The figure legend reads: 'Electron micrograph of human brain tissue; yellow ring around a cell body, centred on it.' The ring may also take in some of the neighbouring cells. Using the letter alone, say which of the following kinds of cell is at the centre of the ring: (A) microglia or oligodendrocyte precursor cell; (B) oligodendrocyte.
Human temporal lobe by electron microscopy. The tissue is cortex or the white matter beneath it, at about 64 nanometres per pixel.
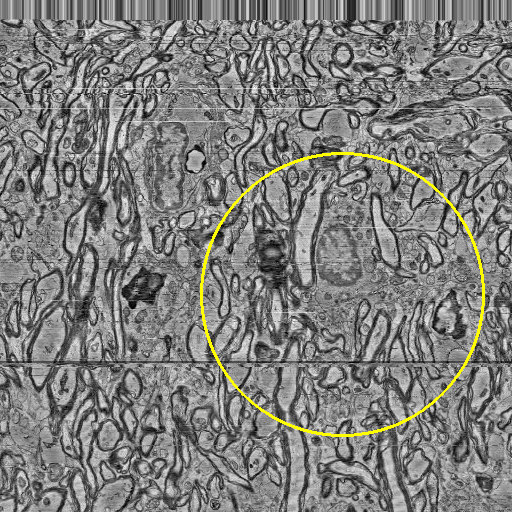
B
